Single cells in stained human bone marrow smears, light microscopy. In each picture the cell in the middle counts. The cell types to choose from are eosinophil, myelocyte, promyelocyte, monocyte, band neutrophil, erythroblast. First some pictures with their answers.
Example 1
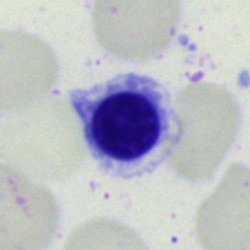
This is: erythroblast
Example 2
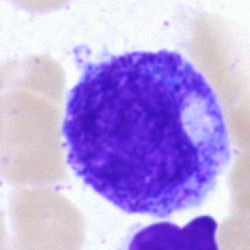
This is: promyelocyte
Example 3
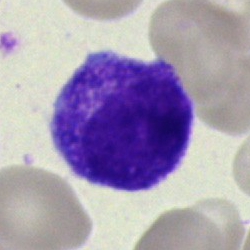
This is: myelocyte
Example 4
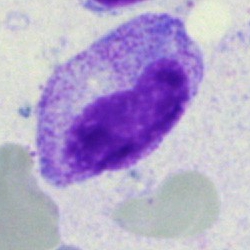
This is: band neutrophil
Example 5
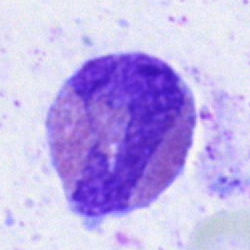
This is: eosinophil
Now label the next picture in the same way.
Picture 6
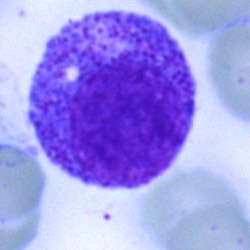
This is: promyelocyte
